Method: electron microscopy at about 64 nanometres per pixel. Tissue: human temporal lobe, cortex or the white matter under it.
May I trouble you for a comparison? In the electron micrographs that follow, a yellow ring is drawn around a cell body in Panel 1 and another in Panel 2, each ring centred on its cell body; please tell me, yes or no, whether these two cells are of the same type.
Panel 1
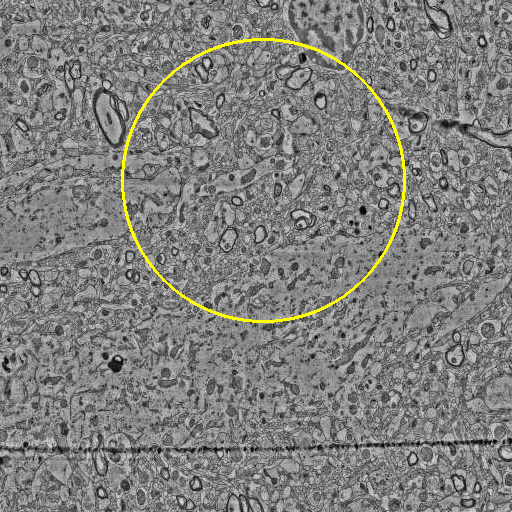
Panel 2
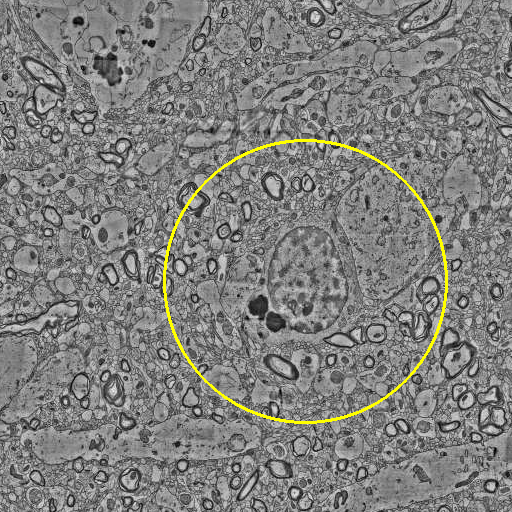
yes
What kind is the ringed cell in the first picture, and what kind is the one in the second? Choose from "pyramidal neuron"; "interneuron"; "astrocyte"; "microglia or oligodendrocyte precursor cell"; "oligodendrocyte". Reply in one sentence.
Each cell, in the first picture and the second, is an oligodendrocyte.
